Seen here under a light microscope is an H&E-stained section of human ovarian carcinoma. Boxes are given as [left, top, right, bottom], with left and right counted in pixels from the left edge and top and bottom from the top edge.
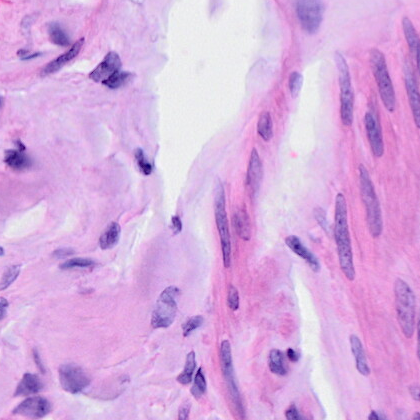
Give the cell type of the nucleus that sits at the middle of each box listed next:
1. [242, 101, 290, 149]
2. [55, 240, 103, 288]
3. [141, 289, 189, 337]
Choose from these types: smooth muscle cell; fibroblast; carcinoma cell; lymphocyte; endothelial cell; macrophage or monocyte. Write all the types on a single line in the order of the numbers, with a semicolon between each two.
smooth muscle cell; fibroblast; fibroblast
